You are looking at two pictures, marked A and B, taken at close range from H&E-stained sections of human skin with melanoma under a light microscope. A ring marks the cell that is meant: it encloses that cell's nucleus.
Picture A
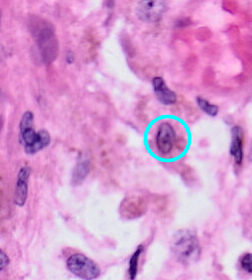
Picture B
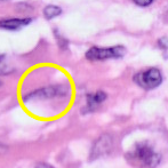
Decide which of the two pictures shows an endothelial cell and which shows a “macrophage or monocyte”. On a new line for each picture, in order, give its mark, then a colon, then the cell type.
A: macrophage or monocyte
B: endothelial cell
